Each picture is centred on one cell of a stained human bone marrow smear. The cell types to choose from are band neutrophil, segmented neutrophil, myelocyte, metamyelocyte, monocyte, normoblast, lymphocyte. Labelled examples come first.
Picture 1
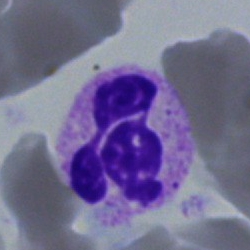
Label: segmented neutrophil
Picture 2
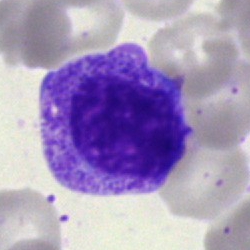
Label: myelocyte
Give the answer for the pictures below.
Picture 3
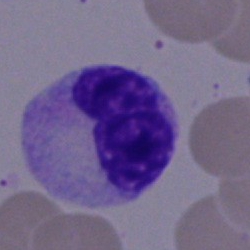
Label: metamyelocyte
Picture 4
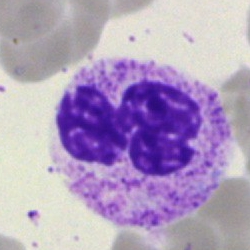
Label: segmented neutrophil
